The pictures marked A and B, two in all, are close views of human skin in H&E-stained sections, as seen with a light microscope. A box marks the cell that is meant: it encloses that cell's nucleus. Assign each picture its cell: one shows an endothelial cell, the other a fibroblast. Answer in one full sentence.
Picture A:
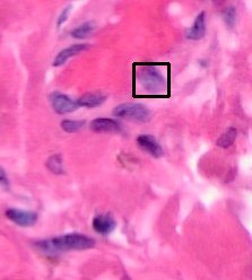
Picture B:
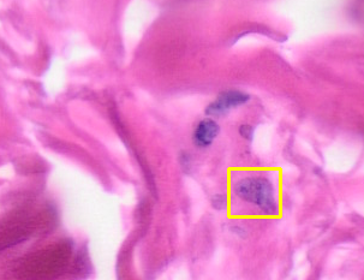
Picture B shows a fibroblast, while picture A shows an endothelial cell.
